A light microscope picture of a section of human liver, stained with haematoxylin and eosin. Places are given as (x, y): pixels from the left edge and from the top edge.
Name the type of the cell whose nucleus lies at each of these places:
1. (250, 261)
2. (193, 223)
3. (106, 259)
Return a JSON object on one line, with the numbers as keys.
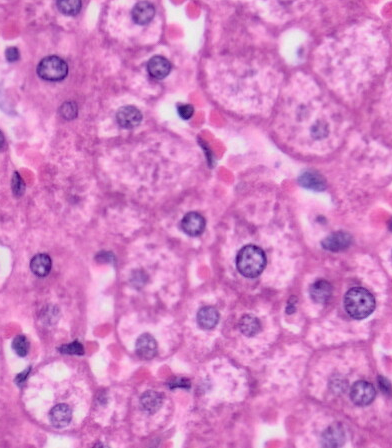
{"1": "hepatocyte", "2": "hepatocyte", "3": "endothelial cell"}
